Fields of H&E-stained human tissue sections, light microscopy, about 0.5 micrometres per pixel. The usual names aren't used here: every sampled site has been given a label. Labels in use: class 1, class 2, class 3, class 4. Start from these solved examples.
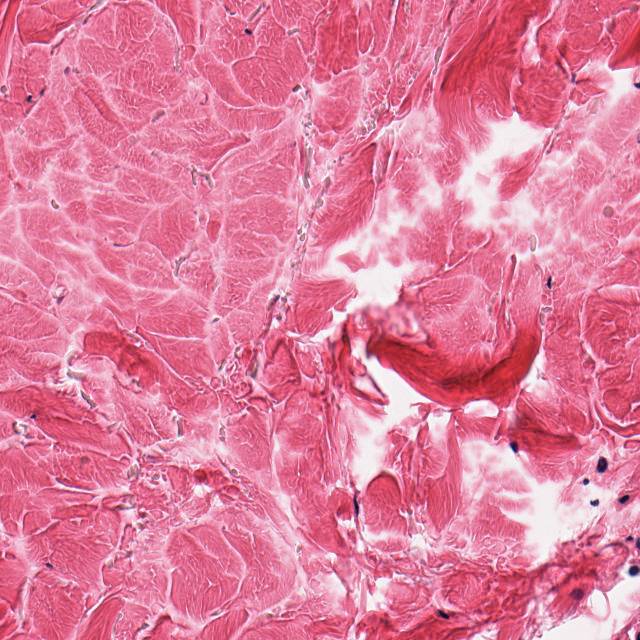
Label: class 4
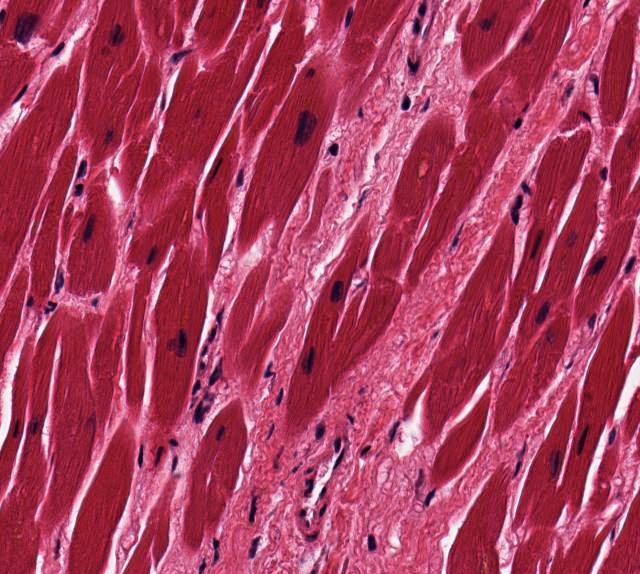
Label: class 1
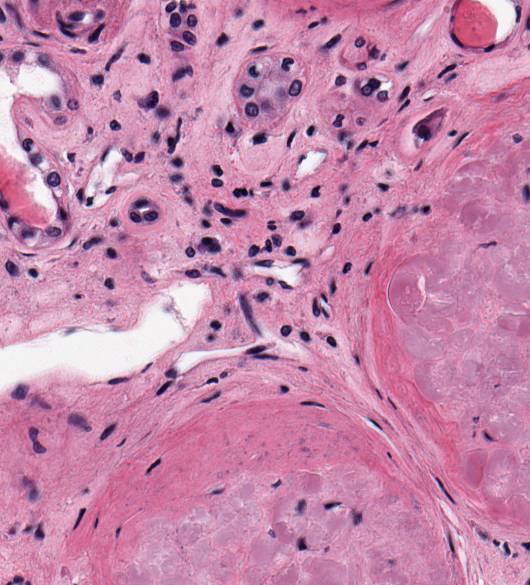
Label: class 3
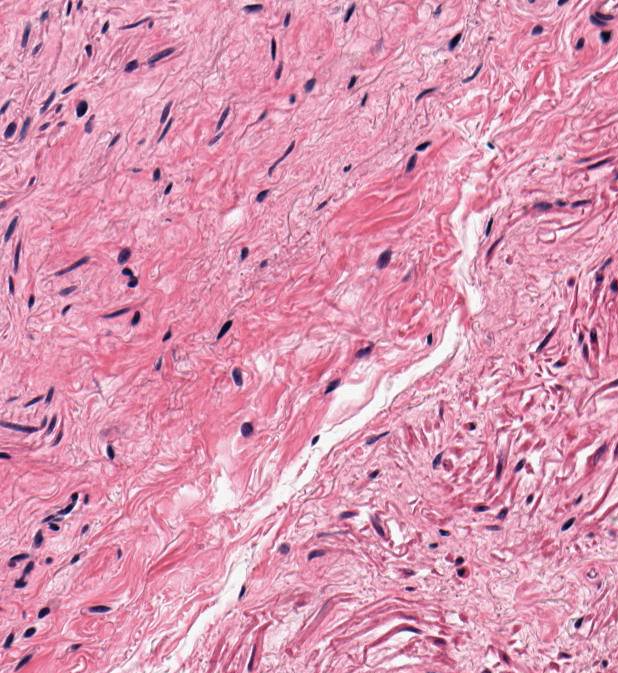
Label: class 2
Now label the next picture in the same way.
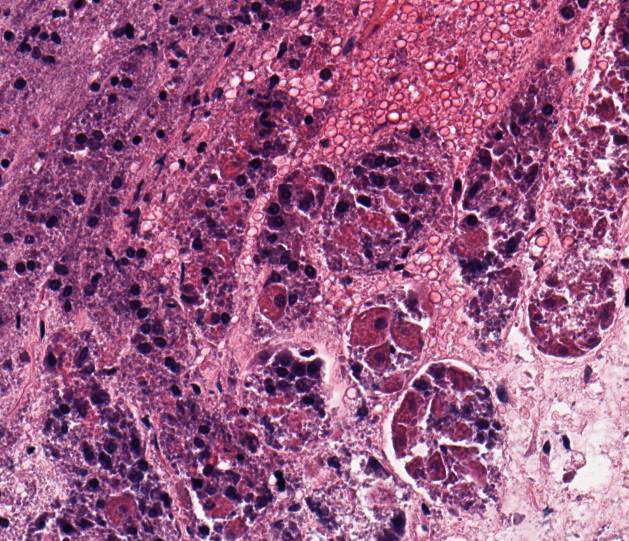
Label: class 2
